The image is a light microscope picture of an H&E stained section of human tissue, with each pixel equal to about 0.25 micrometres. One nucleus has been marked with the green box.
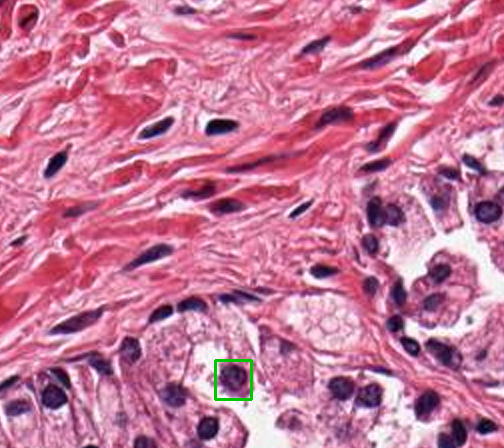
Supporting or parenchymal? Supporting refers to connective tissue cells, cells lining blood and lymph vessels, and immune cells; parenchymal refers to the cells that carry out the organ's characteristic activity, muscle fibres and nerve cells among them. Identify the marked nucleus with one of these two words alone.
parenchymal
